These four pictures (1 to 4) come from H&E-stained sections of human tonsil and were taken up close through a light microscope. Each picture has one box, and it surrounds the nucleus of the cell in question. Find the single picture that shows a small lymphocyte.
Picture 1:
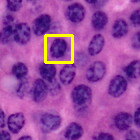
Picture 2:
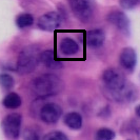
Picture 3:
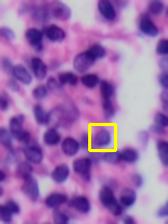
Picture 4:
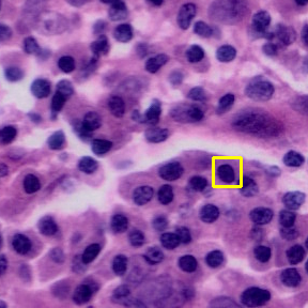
3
